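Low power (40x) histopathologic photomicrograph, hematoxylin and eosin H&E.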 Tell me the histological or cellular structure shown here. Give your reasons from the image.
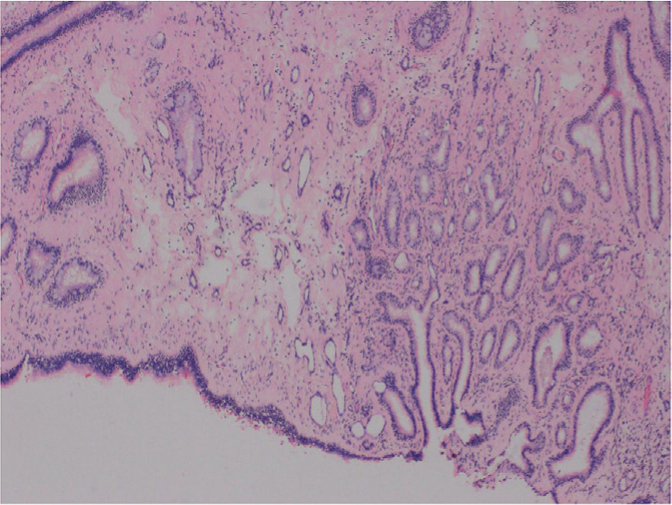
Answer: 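Gland-like structures. A continuous epithelial surface lining runs along the lower left edge. Numerous round to elongated epithelial-lined spaces lie in the underlying pale stroma. Some elongated spaces open toward or extend down from the surface lining.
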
